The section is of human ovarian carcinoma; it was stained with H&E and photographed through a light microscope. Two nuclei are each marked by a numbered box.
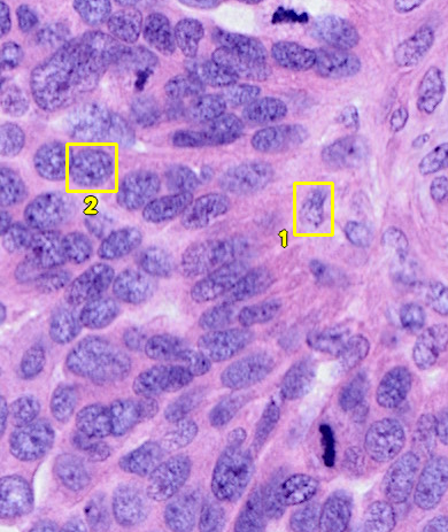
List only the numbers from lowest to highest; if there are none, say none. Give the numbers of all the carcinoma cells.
2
